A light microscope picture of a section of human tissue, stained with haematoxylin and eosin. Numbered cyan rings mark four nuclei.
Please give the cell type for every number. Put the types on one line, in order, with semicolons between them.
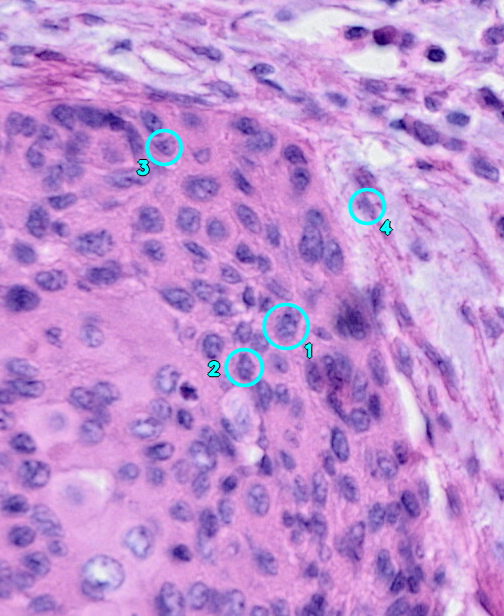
squamous carcinoma cell; squamous carcinoma cell; squamous carcinoma cell; fibroblast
